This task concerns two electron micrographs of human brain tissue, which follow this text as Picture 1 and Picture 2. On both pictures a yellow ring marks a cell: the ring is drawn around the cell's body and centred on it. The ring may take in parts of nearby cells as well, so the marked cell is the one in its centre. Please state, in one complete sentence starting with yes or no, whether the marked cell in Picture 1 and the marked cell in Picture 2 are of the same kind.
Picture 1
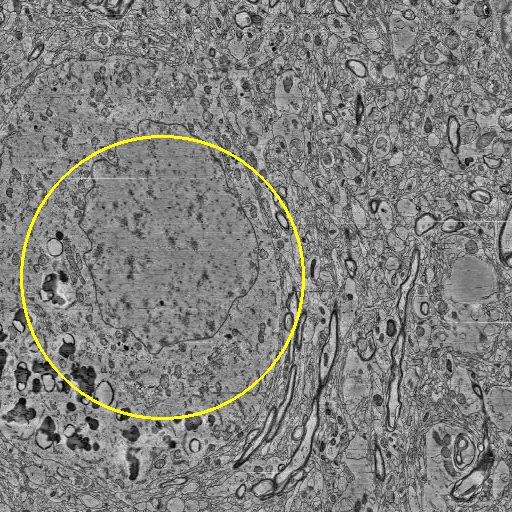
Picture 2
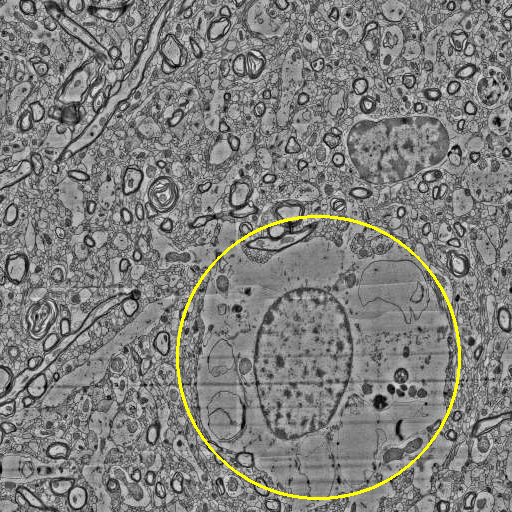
No, the marked cells in the two pictures are of two kinds.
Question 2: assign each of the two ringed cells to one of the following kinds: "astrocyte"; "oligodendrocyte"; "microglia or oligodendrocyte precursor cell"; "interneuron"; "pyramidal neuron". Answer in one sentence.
The two cells are a pyramidal neuron in the first picture and an astrocyte in the second.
